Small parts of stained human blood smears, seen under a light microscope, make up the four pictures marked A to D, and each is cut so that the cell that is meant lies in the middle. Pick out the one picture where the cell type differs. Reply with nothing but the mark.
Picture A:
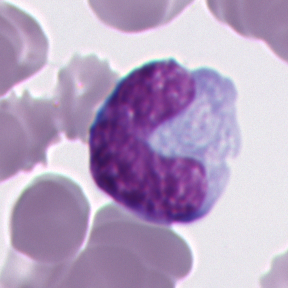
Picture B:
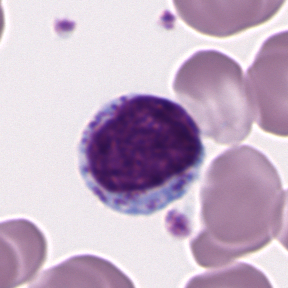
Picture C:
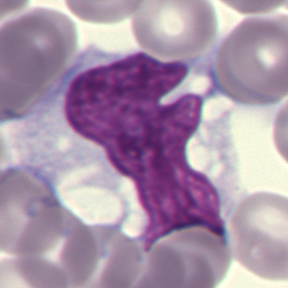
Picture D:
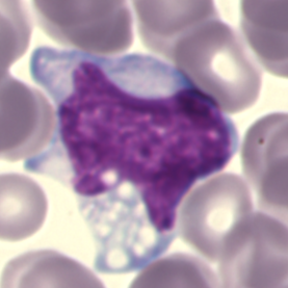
B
